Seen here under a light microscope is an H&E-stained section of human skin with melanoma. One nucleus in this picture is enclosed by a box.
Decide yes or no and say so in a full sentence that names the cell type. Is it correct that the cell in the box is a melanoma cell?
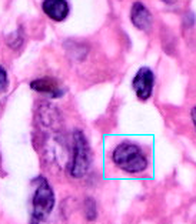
No, within this section, the cell in the box is categorized as a macrophage or monocyte rather than a melanoma cell.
